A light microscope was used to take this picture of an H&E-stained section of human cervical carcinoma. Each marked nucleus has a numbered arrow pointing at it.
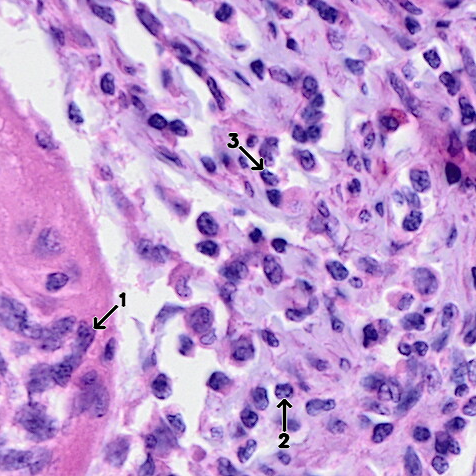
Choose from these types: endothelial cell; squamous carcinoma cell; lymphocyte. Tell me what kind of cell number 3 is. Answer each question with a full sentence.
The cell marked with number 3 is a lymphocyte.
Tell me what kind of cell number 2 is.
The expected answer is that cell 2 is a lymphocyte.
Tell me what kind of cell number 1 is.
The cell identified by number 1 is a squamous carcinoma cell.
